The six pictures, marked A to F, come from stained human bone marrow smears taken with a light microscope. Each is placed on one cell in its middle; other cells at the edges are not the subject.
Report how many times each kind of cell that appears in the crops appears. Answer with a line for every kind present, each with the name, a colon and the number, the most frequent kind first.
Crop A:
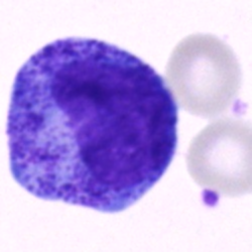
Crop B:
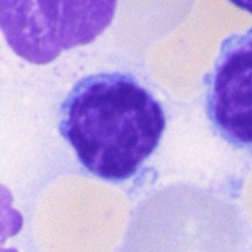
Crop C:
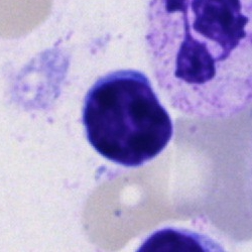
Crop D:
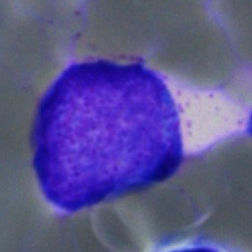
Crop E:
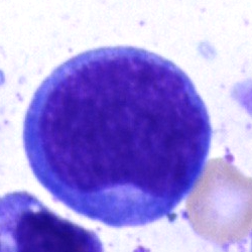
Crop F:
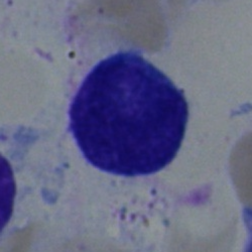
blast: 3
lymphocyte: 2
promyelocyte: 1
